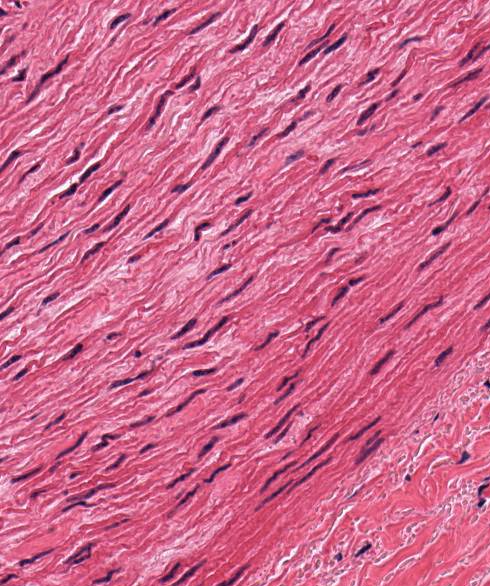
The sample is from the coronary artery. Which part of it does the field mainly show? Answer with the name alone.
tunica media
